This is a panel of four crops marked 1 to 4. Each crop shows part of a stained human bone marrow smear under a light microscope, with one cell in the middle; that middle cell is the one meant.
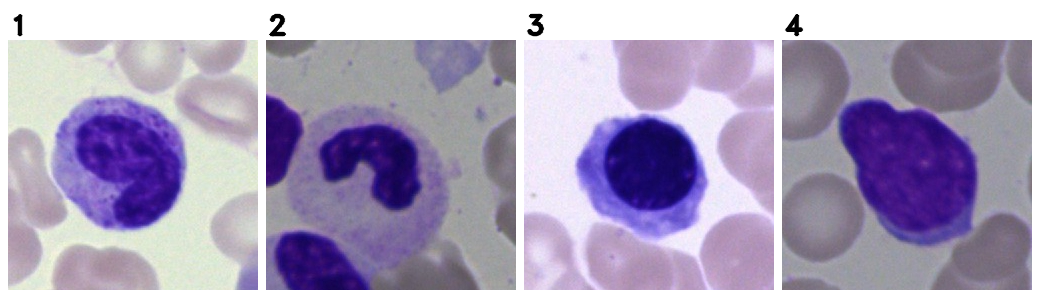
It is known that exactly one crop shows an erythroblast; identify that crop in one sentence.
Crop 3 is where an erythroblast is to be found.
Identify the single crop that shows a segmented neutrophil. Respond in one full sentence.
On review of the set, crop 2 is the one showing a segmented neutrophil.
